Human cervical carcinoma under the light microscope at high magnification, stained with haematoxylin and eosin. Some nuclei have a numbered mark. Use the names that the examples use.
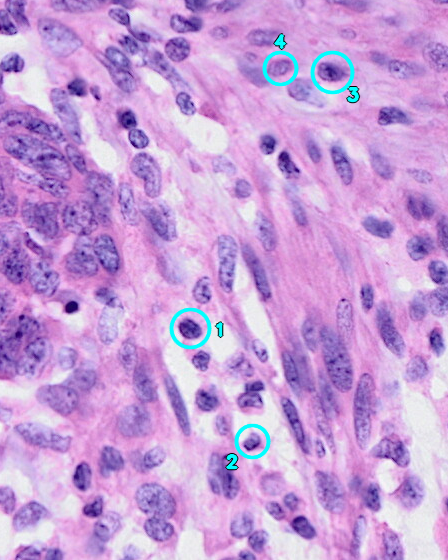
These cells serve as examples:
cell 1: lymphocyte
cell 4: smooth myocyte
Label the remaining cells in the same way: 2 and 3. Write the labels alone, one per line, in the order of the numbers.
lymphocyte
lymphocyte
